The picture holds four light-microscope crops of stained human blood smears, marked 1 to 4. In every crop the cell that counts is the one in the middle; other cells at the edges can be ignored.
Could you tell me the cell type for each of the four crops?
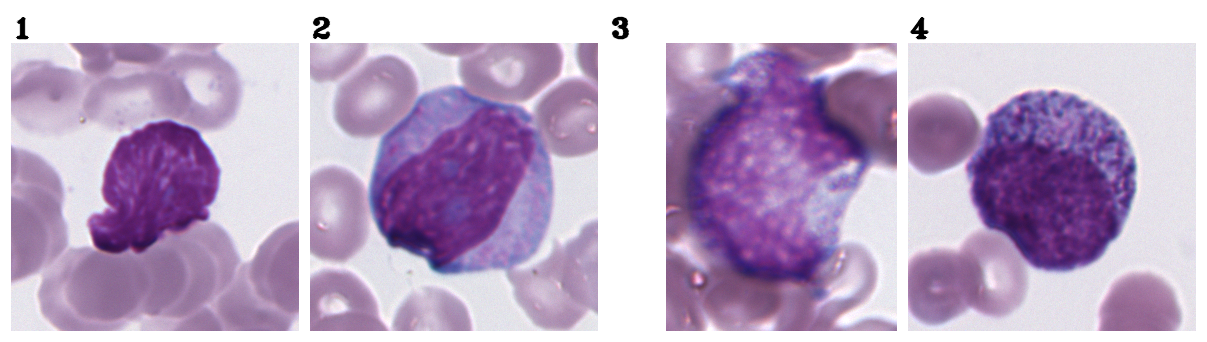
1: smudge cell
2: atypical promyelocyte
3: promyelocyte
4: myelocyte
